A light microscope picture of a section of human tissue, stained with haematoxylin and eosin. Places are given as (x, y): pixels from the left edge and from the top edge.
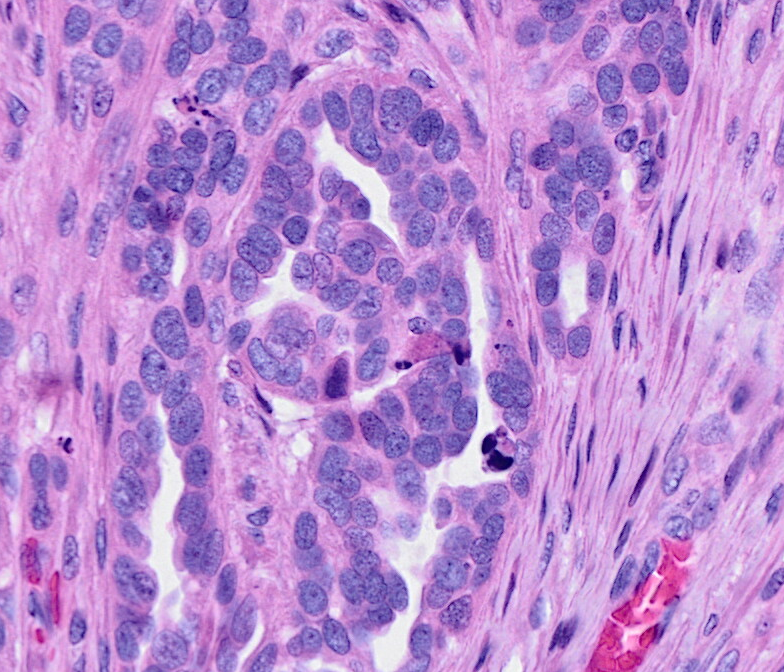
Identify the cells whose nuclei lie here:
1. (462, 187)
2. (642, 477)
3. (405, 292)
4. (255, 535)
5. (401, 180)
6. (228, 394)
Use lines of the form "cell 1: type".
cell 1: carcinoma cell
cell 2: fibroblast
cell 3: carcinoma cell
cell 4: fibroblast
cell 5: carcinoma cell
cell 6: fibroblast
